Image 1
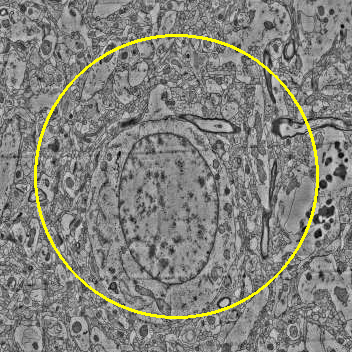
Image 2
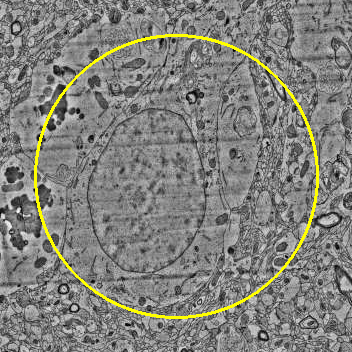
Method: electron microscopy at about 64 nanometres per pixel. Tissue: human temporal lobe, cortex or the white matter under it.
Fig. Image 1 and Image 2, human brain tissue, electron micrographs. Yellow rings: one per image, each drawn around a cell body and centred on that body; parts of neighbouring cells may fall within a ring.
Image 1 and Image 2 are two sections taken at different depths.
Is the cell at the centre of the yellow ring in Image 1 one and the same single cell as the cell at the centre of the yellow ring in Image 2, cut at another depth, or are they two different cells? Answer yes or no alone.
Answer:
no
